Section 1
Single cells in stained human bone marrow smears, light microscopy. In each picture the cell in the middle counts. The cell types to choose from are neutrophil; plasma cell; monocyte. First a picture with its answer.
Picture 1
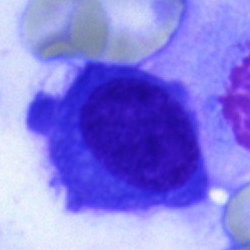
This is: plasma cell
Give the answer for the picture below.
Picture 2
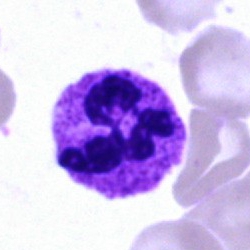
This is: neutrophil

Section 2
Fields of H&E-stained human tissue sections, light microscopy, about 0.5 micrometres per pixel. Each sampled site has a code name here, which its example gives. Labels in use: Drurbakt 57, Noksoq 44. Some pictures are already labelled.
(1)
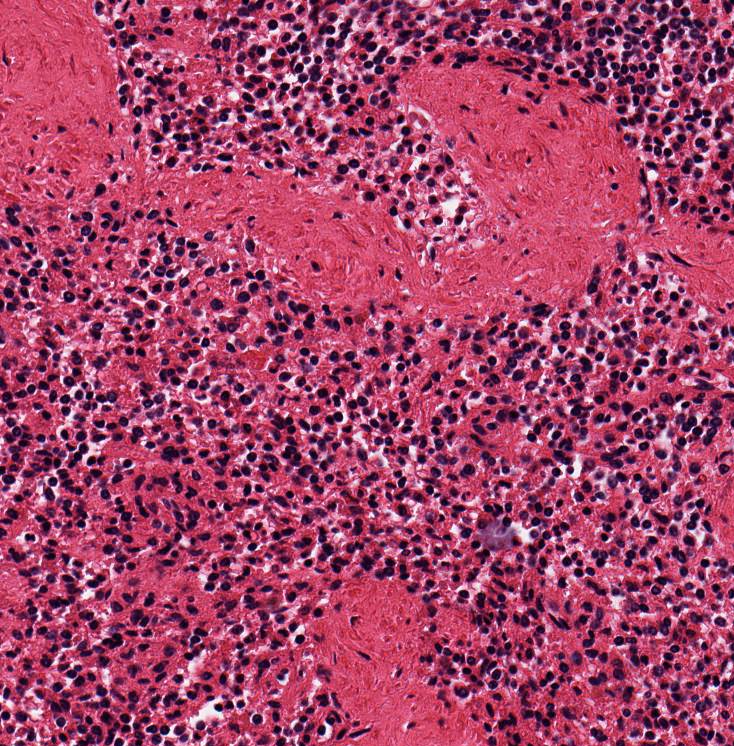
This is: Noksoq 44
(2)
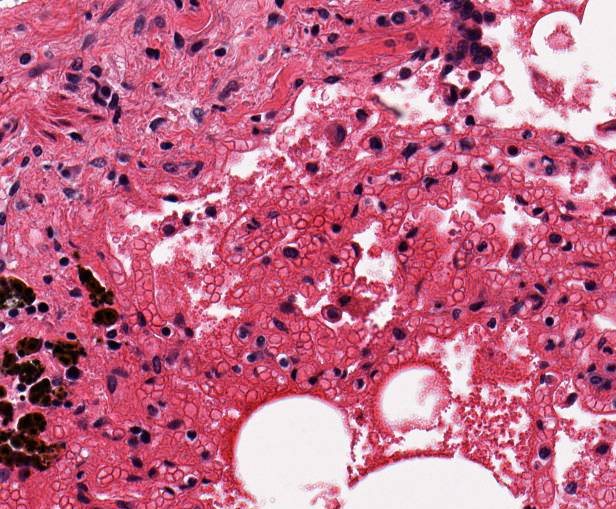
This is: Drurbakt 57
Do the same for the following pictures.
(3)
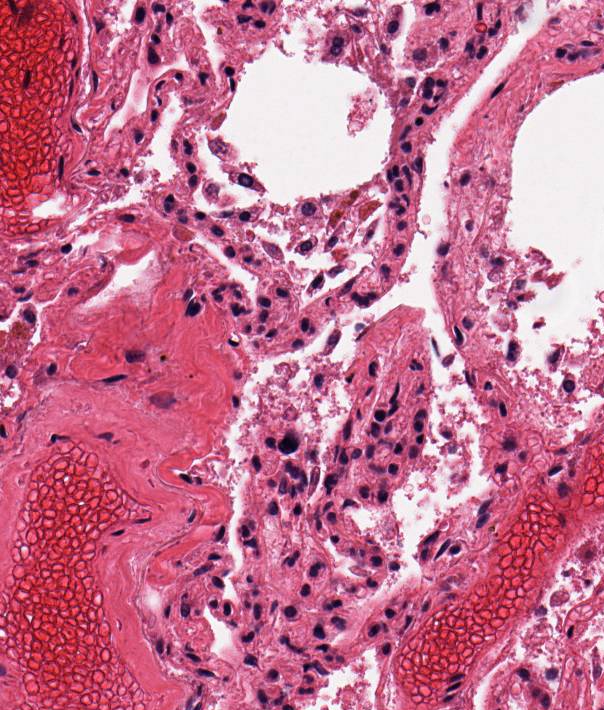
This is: Drurbakt 57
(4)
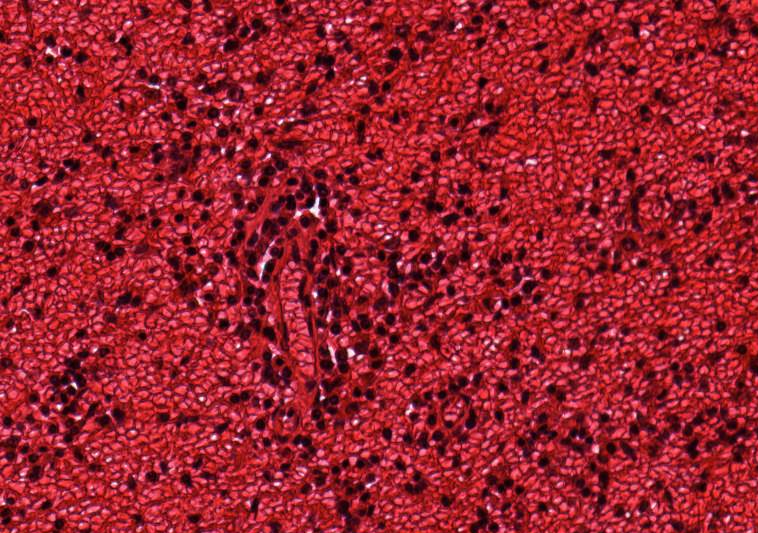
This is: Noksoq 44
